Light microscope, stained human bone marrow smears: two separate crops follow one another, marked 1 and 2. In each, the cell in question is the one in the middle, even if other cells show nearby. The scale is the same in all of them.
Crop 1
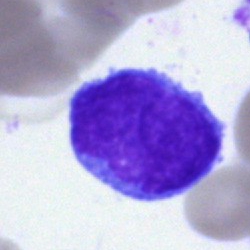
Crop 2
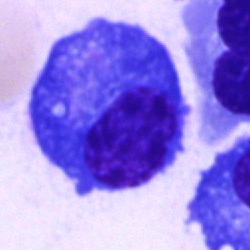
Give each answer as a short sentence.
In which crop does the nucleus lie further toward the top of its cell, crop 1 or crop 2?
In crop 1 the nucleus is shifted more toward the top.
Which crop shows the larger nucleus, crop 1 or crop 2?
It is the nucleus in crop 1, about 2 times as large in area as the one in crop 2.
